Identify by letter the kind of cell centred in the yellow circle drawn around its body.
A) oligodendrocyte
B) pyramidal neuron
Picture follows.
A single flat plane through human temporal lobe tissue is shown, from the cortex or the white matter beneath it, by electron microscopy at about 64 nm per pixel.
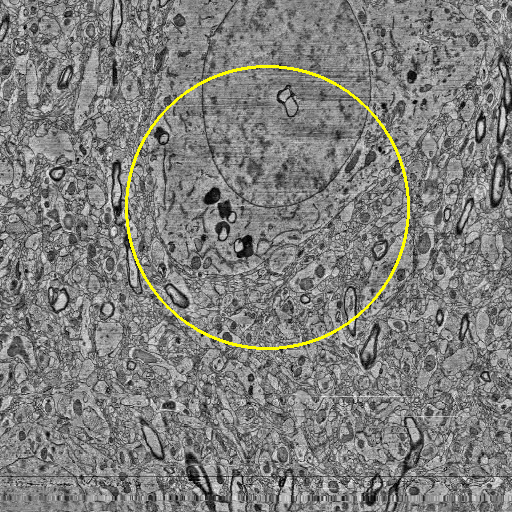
B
